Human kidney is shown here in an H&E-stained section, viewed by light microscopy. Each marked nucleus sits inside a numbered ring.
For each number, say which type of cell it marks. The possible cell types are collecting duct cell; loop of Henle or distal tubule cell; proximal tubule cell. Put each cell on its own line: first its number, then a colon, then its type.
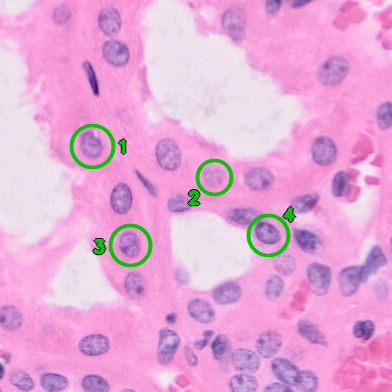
1: proximal tubule cell
2: proximal tubule cell
3: proximal tubule cell
4: collecting duct cell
